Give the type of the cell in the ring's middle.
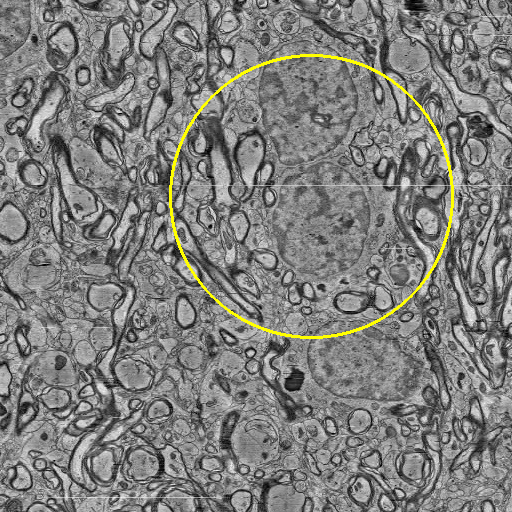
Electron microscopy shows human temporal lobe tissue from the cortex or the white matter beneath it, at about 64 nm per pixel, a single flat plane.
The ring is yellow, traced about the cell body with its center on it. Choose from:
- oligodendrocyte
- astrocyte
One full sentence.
Here, an oligodendrocyte is the cell lying at the center of the yellow ring.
